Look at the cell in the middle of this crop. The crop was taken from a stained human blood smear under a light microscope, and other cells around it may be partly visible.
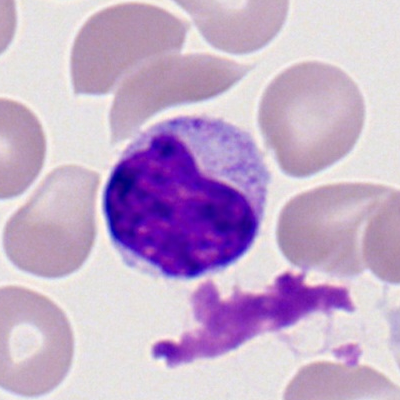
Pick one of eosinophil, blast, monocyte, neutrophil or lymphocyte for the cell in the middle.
lymphocyte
